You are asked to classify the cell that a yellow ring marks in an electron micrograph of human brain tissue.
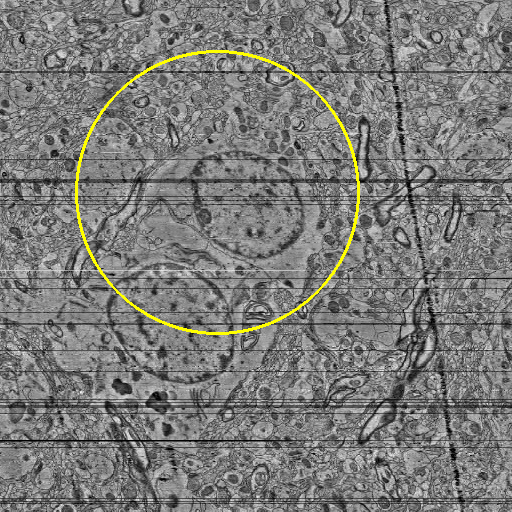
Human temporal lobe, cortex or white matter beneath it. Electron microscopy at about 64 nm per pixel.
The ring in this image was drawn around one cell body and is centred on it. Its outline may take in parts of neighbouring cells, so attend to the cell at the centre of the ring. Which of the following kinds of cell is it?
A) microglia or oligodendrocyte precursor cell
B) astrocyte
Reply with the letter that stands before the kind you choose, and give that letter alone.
B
